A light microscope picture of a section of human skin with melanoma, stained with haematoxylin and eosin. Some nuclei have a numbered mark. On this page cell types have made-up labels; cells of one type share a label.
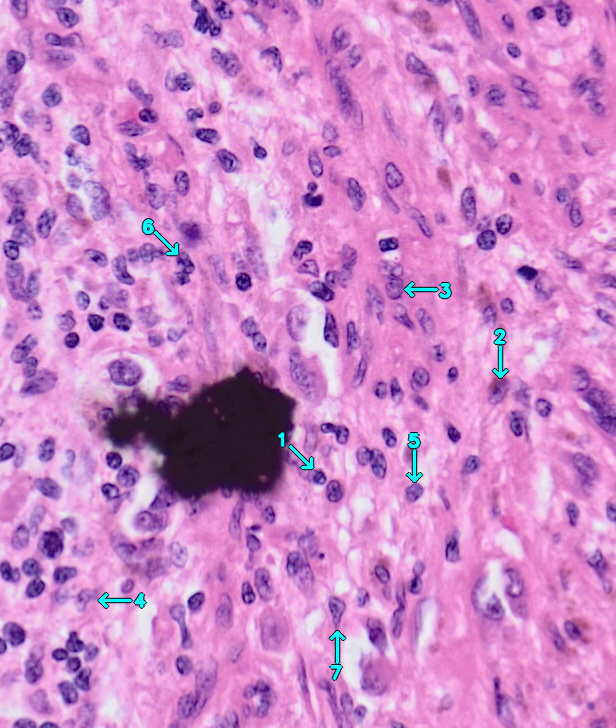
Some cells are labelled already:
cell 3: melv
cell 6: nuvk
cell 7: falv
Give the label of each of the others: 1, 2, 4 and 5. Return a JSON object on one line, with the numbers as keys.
{"1": "nuvk", "2": "falv", "4": "falv", "5": "nuvk"}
